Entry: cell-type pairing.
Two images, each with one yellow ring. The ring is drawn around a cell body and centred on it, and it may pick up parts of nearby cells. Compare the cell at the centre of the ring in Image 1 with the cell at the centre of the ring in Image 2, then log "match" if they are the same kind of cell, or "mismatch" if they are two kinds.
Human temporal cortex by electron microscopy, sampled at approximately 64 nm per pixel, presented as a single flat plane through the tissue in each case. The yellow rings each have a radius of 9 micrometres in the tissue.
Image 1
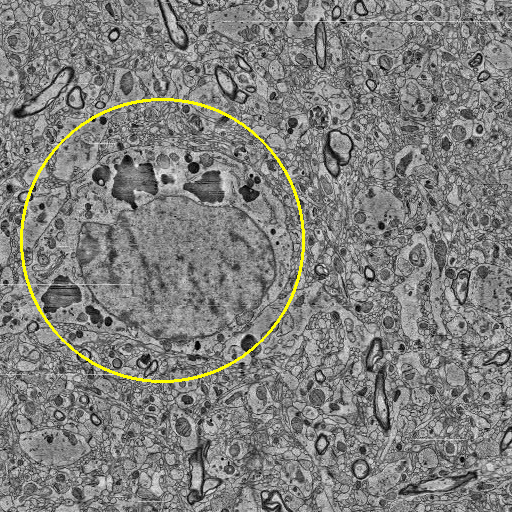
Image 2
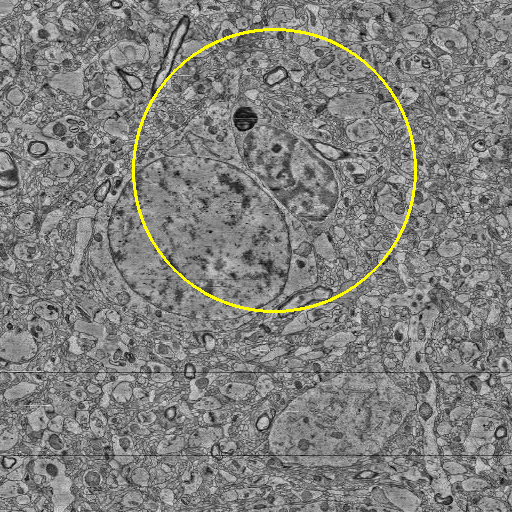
mismatch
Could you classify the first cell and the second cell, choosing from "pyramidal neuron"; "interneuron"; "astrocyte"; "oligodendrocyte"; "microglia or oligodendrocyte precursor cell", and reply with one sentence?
The second cell is an oligodendrocyte, while the first is an interneuron.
